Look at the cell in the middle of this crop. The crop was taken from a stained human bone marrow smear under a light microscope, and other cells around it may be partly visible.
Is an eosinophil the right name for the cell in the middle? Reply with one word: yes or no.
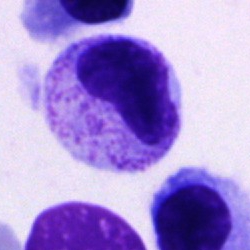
no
